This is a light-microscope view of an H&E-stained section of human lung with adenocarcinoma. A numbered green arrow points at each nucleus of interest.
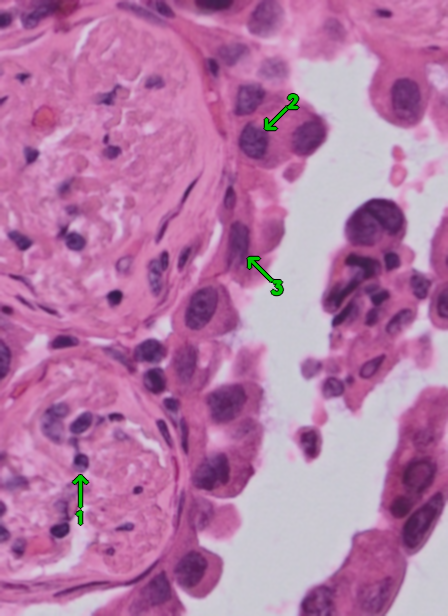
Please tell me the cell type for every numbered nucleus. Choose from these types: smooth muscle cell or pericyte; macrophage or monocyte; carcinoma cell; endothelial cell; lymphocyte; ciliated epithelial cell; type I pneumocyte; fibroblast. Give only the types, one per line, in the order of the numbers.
lymphocyte
carcinoma cell
carcinoma cell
